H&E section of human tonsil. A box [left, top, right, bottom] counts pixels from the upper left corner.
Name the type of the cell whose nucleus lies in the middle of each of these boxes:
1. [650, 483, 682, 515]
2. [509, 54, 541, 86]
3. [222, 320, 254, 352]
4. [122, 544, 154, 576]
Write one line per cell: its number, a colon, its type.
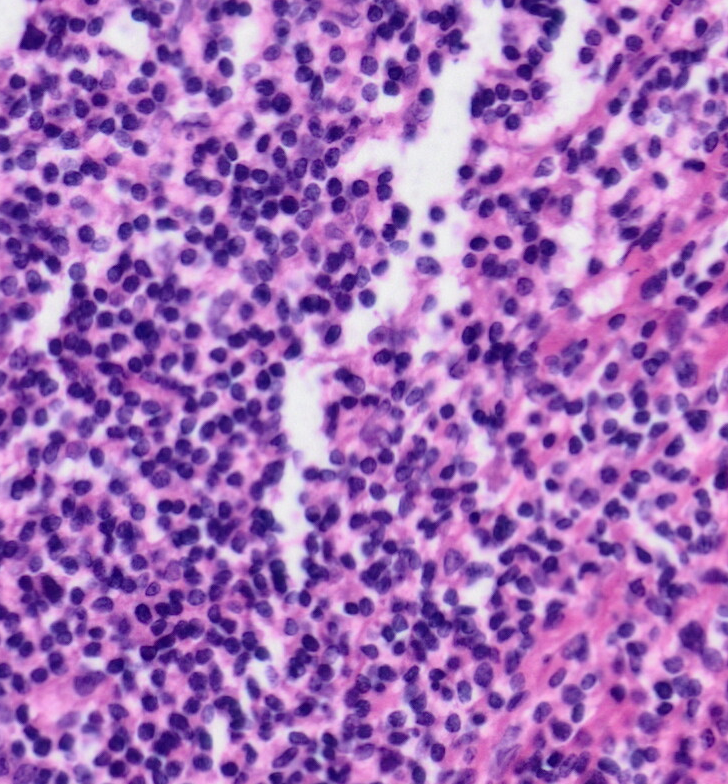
1: mast cell
2: small lymphocyte
3: small lymphocyte
4: small lymphocyte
